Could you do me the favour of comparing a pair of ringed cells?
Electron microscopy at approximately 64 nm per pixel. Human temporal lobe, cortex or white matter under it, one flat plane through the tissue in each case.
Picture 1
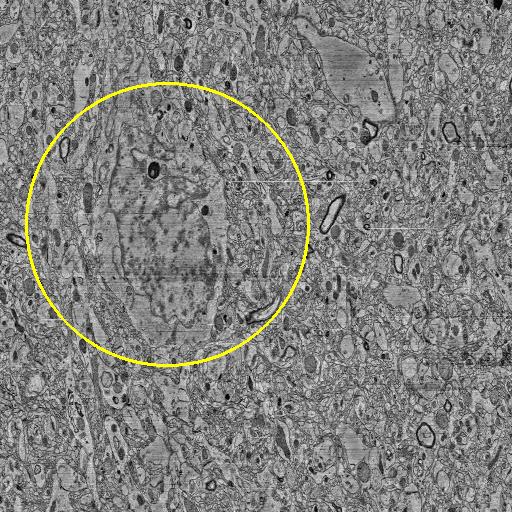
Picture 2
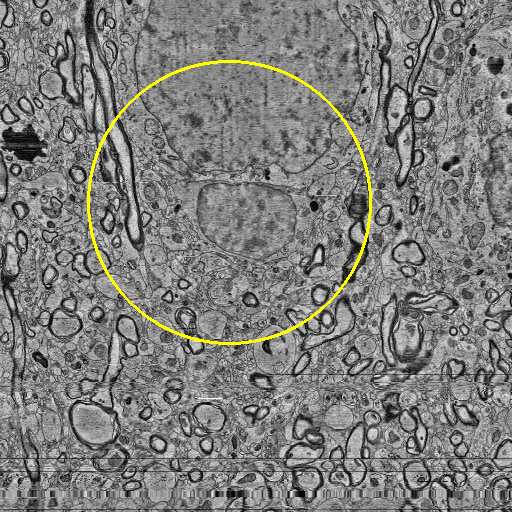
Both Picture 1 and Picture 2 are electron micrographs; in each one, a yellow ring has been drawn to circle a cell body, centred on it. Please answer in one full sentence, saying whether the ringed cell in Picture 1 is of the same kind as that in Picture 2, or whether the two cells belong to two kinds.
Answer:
The ringed cells in Picture 1 and Picture 2 belong to two kinds.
